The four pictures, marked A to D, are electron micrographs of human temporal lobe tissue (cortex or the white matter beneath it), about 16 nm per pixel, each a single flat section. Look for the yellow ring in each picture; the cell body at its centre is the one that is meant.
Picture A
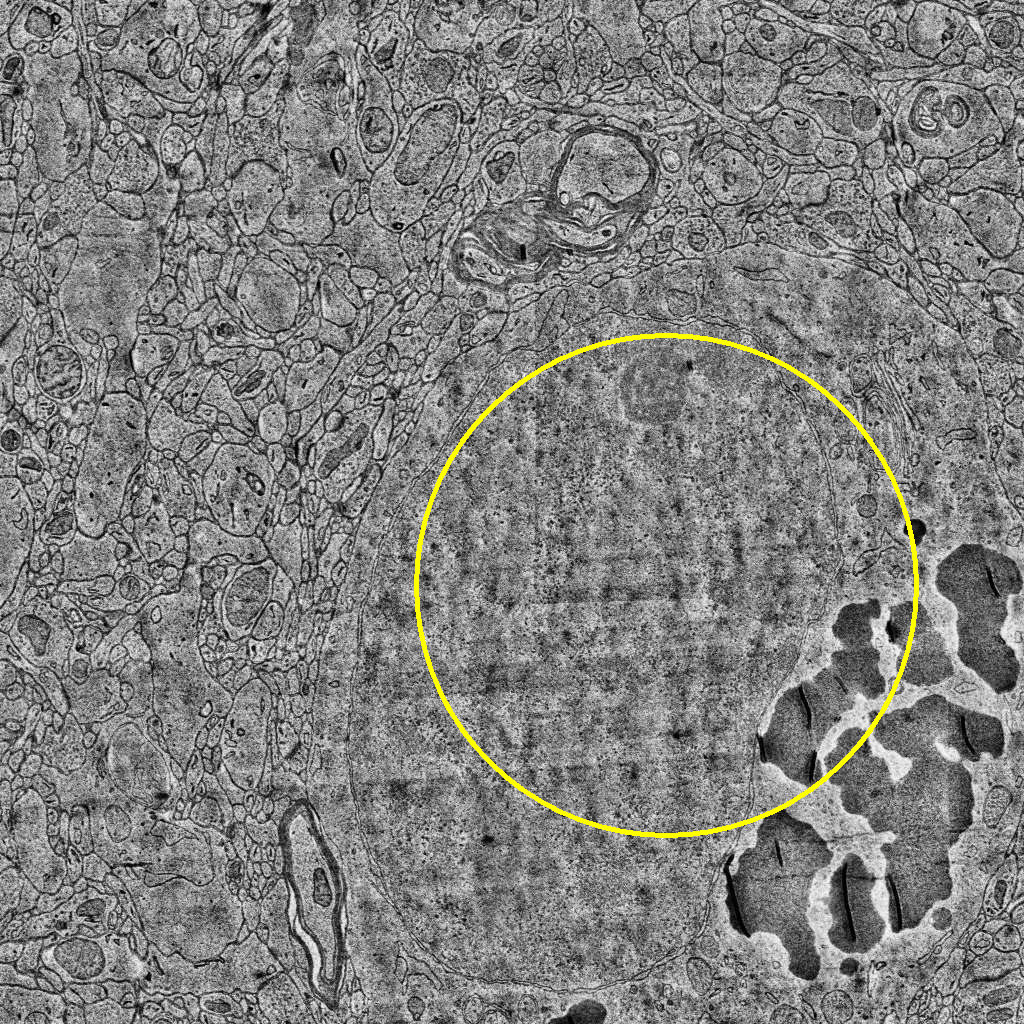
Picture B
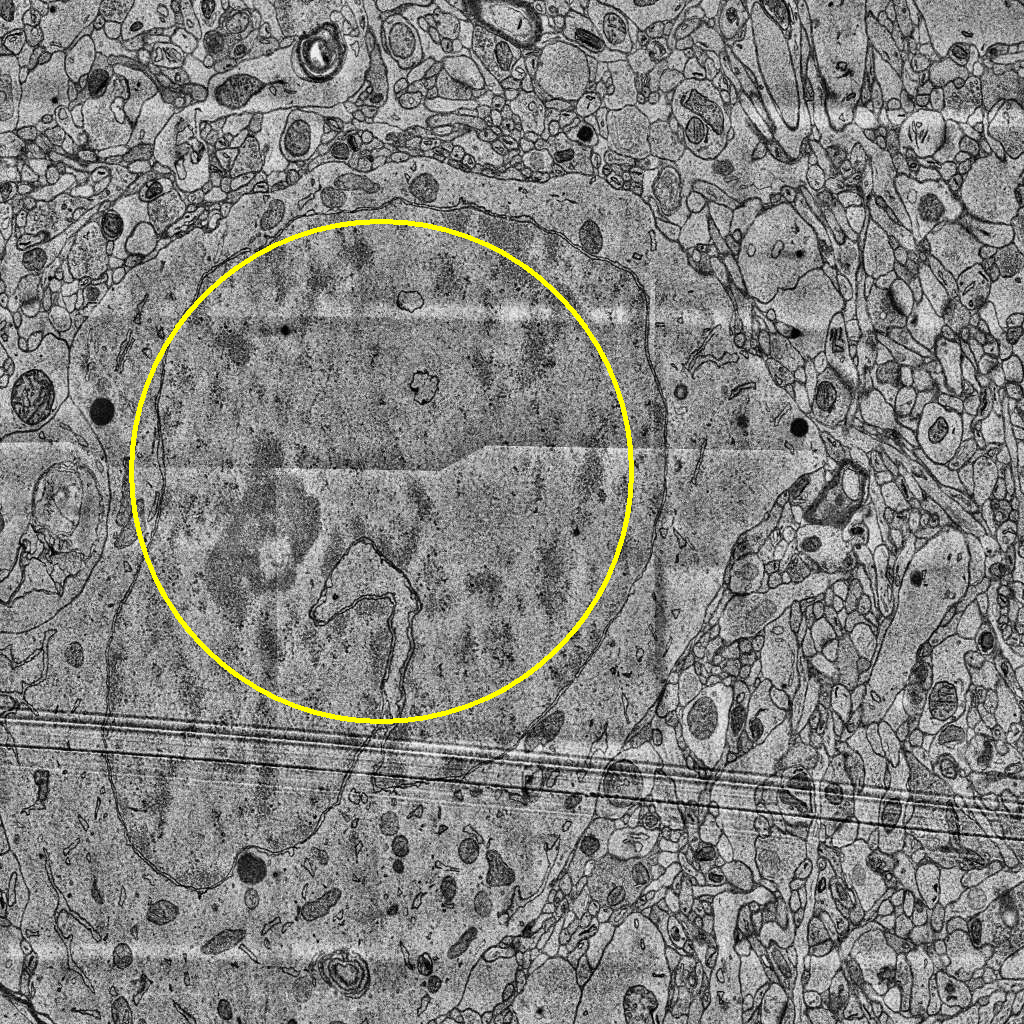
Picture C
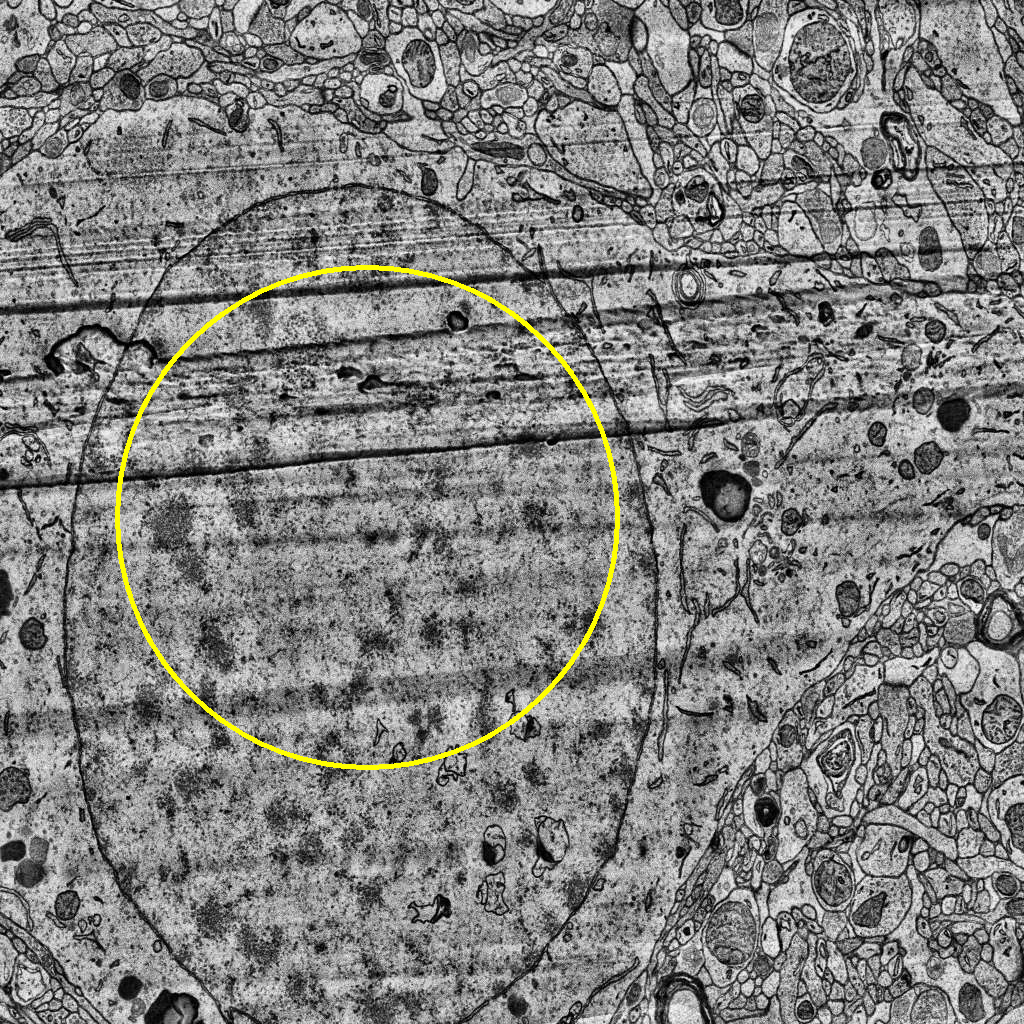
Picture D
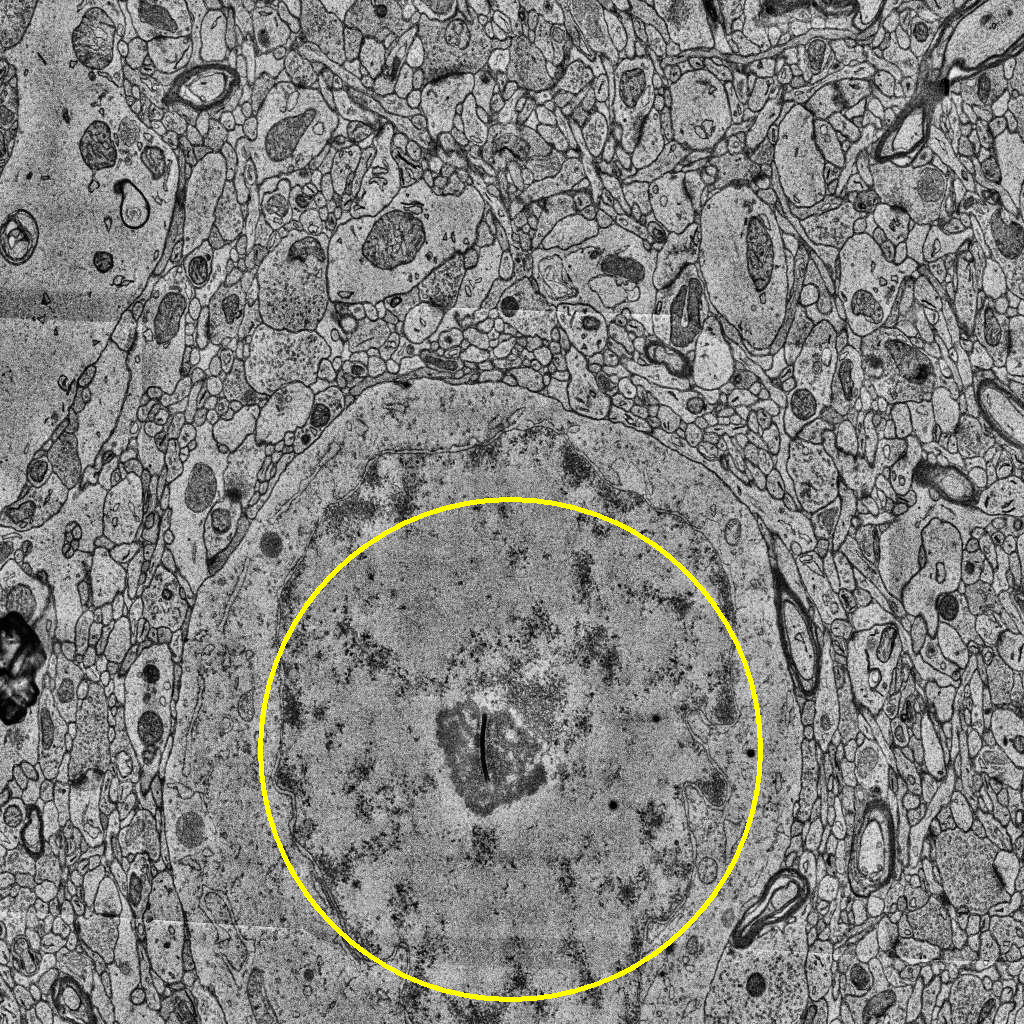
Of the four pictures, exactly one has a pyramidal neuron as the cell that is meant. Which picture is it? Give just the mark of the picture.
C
